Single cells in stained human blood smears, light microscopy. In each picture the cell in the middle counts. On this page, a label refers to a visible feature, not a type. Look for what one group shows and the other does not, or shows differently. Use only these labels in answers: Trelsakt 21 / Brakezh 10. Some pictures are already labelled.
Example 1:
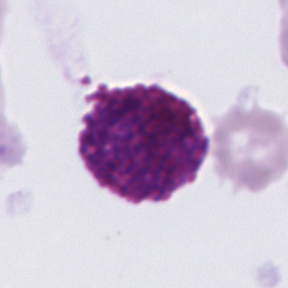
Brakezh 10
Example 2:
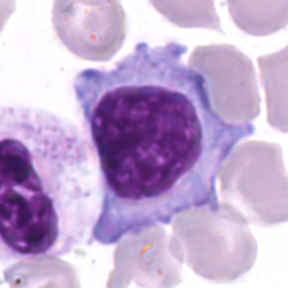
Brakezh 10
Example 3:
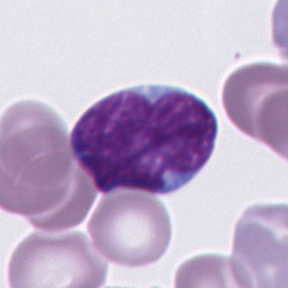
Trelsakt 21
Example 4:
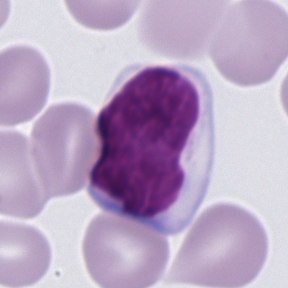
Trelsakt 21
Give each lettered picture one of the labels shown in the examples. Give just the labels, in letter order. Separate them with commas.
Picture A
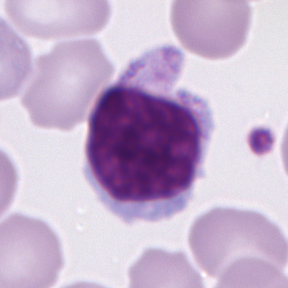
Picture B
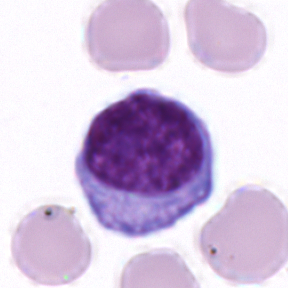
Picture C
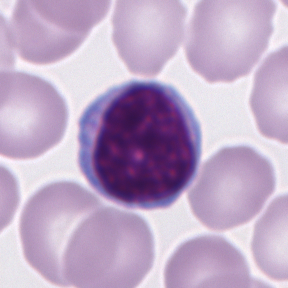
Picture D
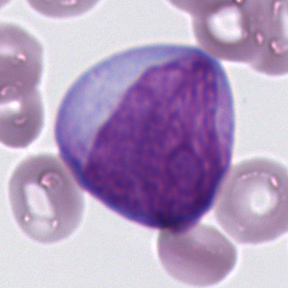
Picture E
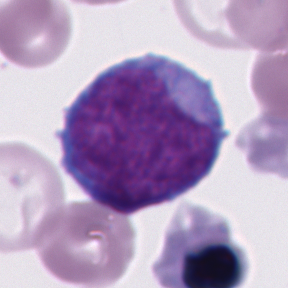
Brakezh 10, Trelsakt 21, Trelsakt 21, Trelsakt 21, Brakezh 10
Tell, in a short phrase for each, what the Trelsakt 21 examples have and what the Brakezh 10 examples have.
Trelsakt 21: smooth outline; Brakezh 10: ragged outline or projections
